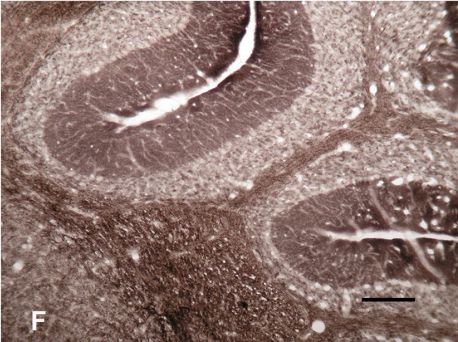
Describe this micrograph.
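This is cerebellar cortex seen at higher magnification, with folia separated by narrow fissures. A darker stained band of tissue runs between neighbouring folia at the lower left.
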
